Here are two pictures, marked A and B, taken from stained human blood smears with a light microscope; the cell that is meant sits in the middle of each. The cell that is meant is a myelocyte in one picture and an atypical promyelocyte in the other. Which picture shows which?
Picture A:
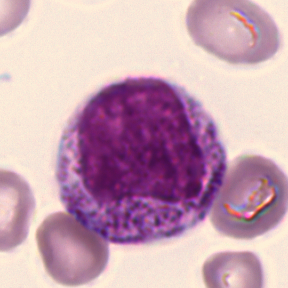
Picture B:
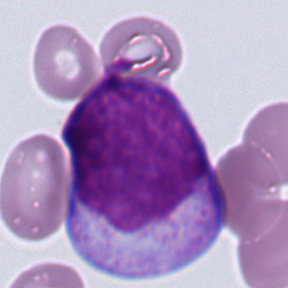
A: myelocyte
B: atypical promyelocyte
